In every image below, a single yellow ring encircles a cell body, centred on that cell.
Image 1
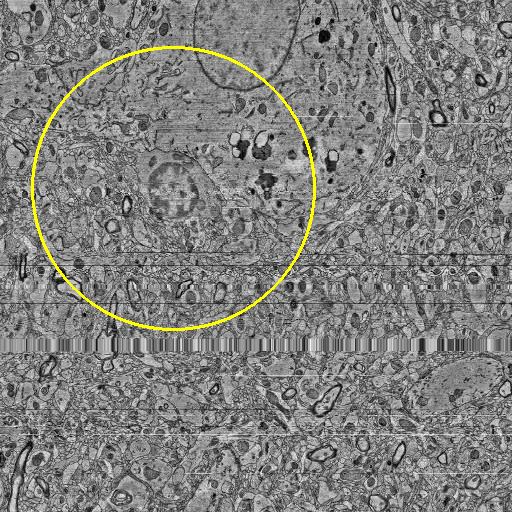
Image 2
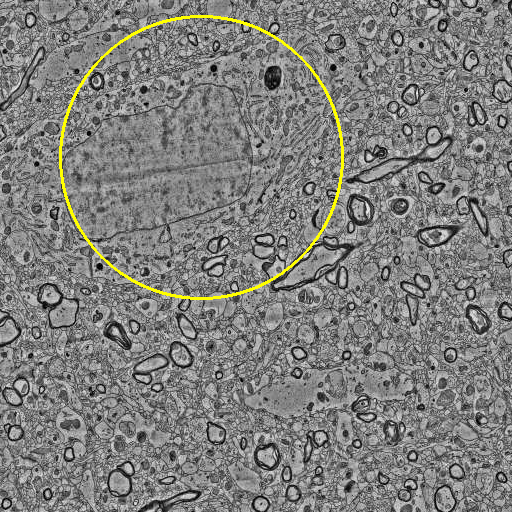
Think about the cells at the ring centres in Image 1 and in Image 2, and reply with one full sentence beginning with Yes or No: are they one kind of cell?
No, the cells centred in the rings of Image 1 and Image 2 are two kinds of cell.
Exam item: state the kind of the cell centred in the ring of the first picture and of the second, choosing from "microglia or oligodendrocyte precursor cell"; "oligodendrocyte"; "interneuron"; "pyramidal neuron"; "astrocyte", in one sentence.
The first picture shows an oligodendrocyte at the ring centre and the second shows an interneuron.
